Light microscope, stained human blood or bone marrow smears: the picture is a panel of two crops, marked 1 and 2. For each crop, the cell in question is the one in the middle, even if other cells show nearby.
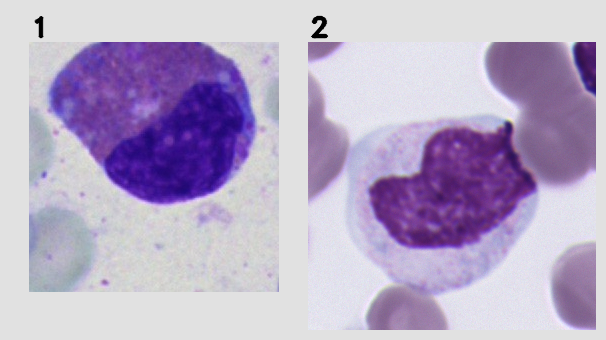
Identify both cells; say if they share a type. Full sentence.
No, crop 1 shows an eosinophil and crop 2 shows a metamyelocyte.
